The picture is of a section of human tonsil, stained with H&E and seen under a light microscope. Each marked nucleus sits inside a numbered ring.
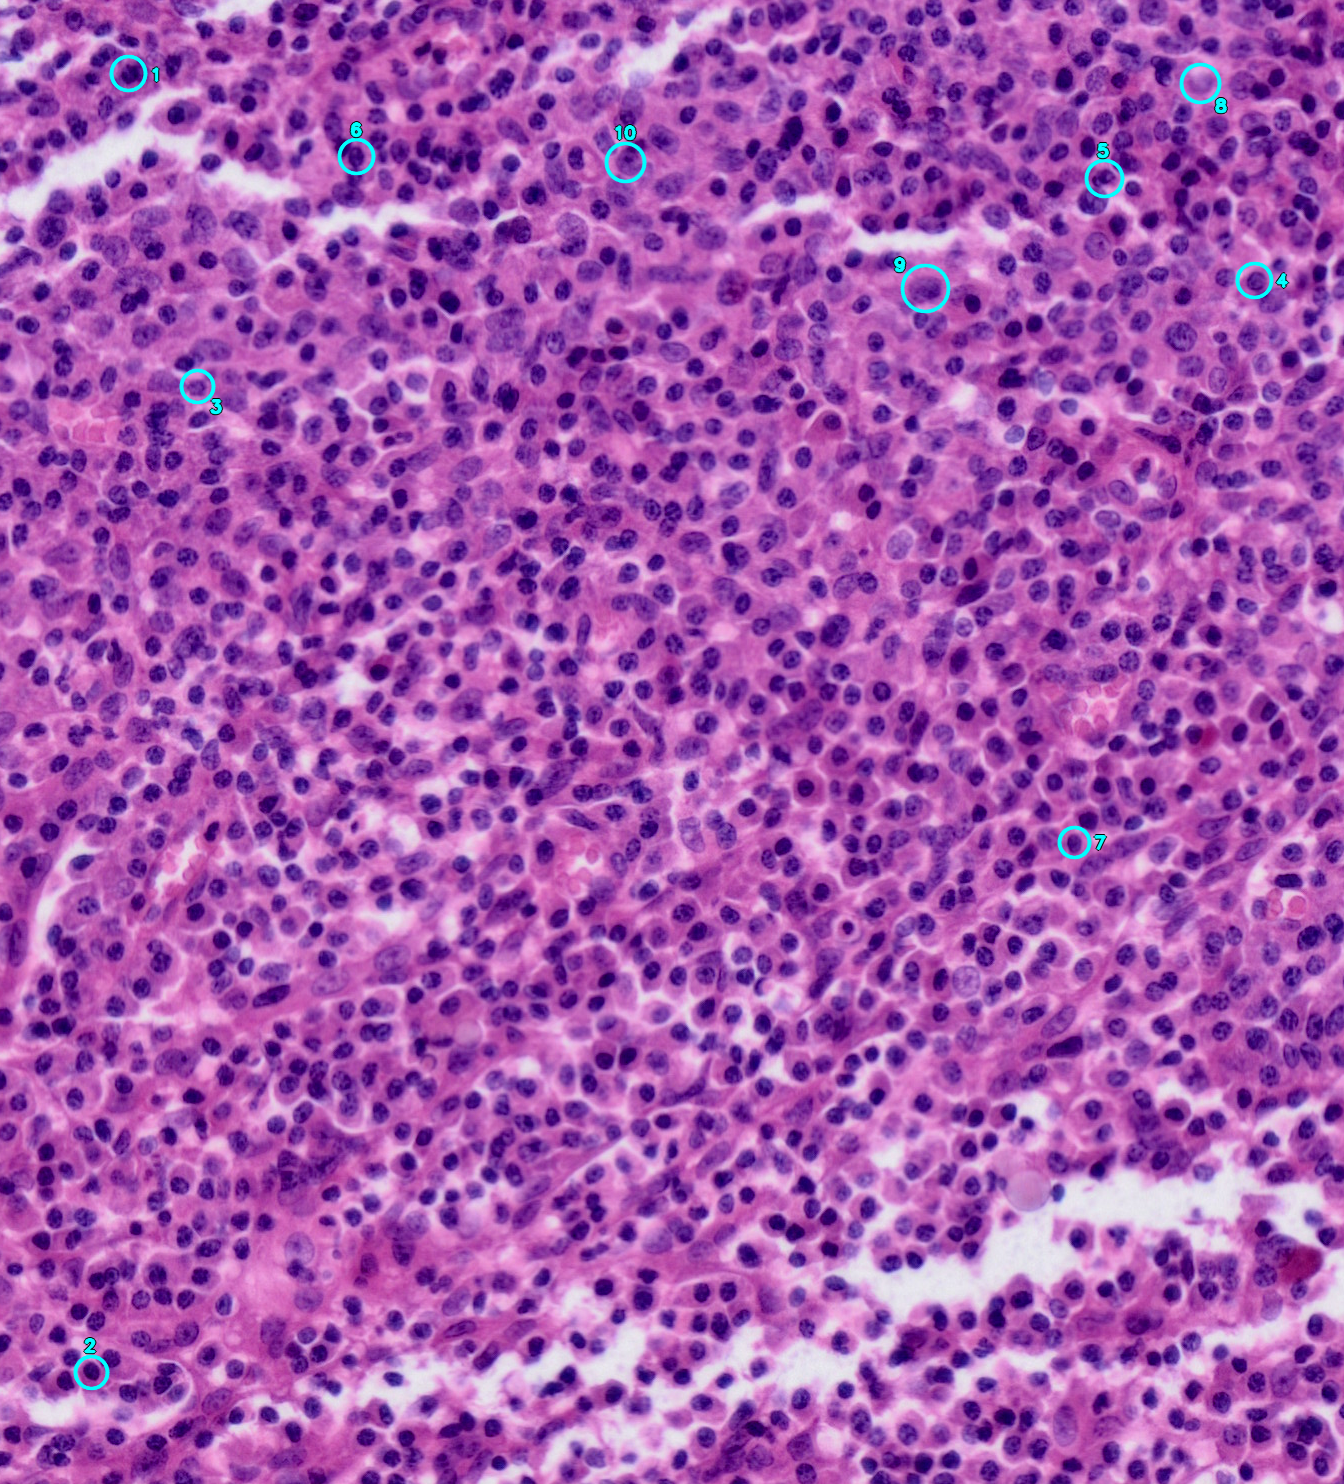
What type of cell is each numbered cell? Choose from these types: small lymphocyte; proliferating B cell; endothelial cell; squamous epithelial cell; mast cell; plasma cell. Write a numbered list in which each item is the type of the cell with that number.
1. plasma cell
2. plasma cell
3. squamous epithelial cell
4. plasma cell
5. plasma cell
6. plasma cell
7. plasma cell
8. squamous epithelial cell
9. squamous epithelial cell
10. squamous epithelial cell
